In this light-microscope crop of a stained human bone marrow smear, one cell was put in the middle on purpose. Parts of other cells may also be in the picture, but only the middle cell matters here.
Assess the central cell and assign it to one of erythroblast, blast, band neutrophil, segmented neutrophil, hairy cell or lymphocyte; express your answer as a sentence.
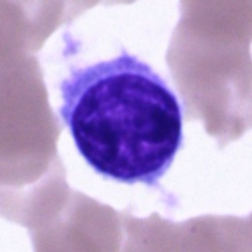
What sits at the centre of this crop is a hairy cell.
